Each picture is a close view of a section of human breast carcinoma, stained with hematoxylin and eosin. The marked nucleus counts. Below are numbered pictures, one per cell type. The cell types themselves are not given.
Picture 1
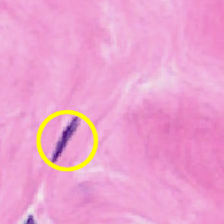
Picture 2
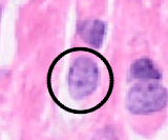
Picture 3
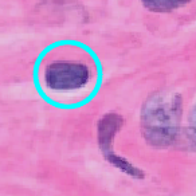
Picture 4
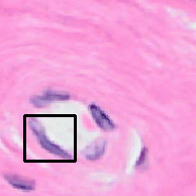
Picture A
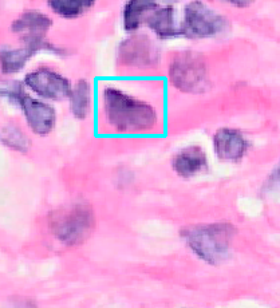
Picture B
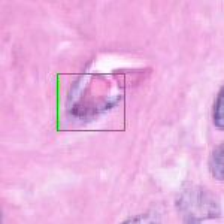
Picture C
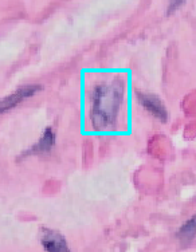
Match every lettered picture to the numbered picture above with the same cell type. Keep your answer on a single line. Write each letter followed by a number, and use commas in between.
A 2, B 4, C 4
